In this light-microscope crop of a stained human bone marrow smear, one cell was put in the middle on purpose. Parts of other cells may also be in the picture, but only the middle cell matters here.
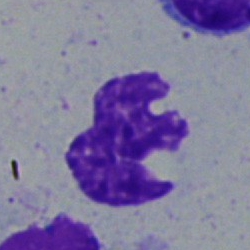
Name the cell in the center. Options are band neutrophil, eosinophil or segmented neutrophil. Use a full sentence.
In this crop, the cell at the very middle is a segmented neutrophil.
